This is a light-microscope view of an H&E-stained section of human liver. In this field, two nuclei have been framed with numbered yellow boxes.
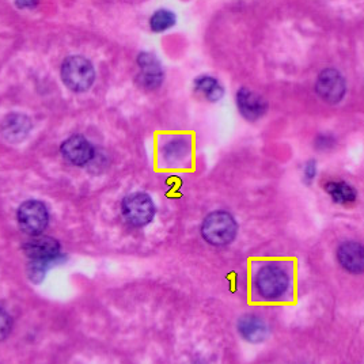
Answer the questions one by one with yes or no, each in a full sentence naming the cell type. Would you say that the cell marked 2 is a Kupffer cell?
Yes, the cell identified by number 2 is a Kupffer cell.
